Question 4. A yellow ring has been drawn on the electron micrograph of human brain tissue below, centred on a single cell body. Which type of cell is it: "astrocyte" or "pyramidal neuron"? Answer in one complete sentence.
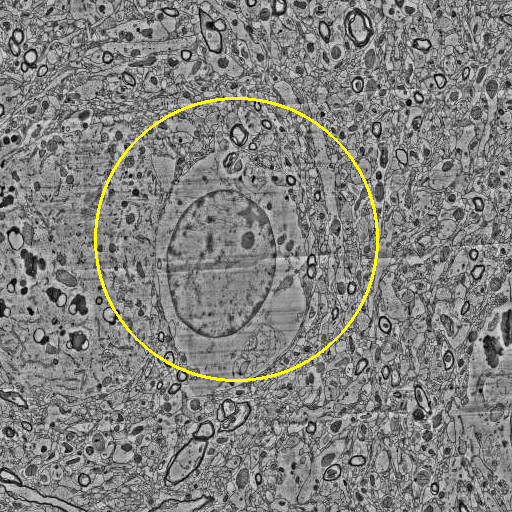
This cell body belongs to an astrocyte.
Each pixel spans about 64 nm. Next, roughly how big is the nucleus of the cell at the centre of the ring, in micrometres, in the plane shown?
In this plane, the nucleus is roughly 9 by 7 micrometres.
